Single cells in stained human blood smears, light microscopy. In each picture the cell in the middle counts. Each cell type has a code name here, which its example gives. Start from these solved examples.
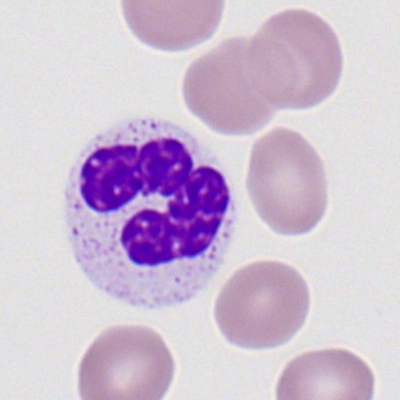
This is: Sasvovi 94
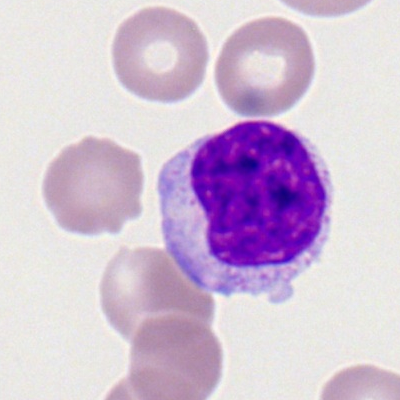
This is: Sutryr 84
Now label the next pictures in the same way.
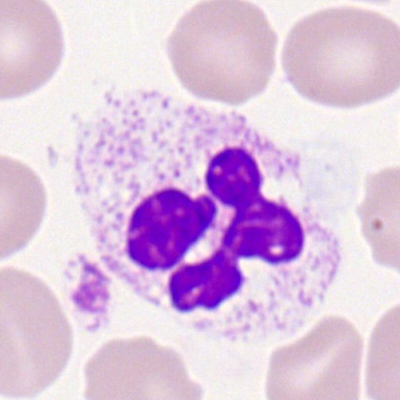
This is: Sasvovi 94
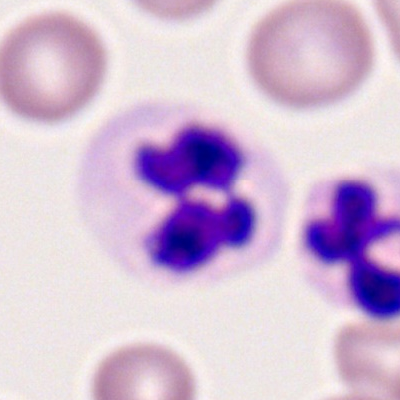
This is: Sasvovi 94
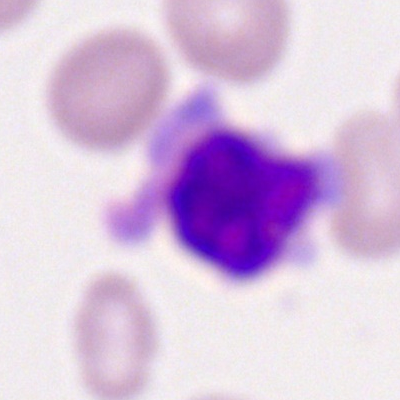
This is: Sutryr 84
